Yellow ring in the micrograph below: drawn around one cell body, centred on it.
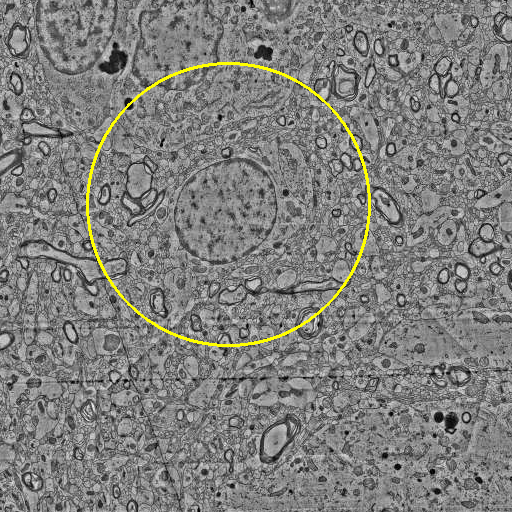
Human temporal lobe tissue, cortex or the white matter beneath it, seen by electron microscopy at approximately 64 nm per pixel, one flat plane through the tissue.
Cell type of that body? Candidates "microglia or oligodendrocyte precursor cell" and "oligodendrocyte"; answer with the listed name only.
microglia or oligodendrocyte precursor cell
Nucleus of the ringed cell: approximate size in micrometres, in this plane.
About 7 micrometres across in this plane.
